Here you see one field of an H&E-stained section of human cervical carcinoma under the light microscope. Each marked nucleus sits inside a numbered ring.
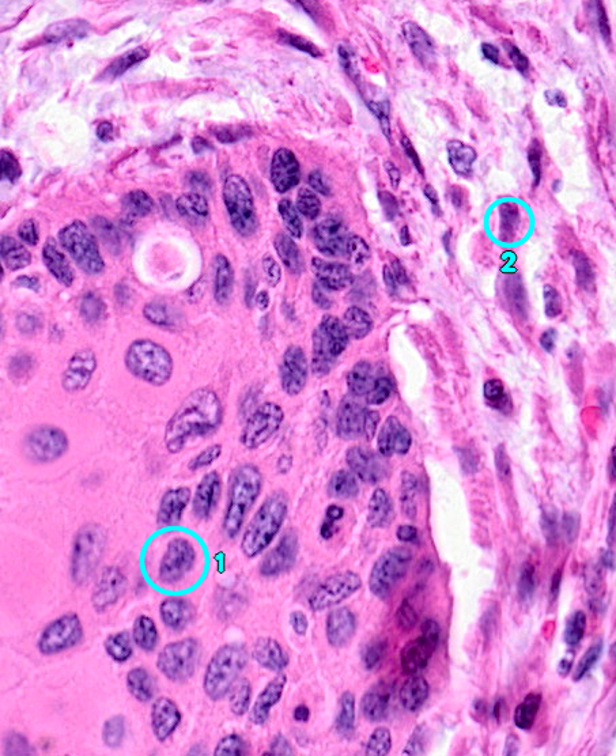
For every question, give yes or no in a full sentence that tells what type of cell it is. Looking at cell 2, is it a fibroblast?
Yes, the cell with the number 2 is a fibroblast.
